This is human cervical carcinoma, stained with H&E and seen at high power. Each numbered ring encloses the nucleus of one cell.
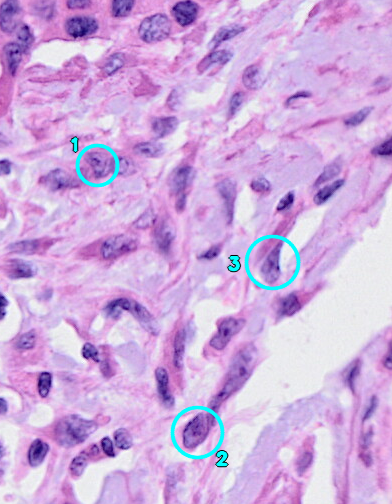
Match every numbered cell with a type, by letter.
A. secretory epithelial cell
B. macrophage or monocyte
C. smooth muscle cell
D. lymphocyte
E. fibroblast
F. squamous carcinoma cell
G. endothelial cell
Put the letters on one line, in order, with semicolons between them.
G; B; E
